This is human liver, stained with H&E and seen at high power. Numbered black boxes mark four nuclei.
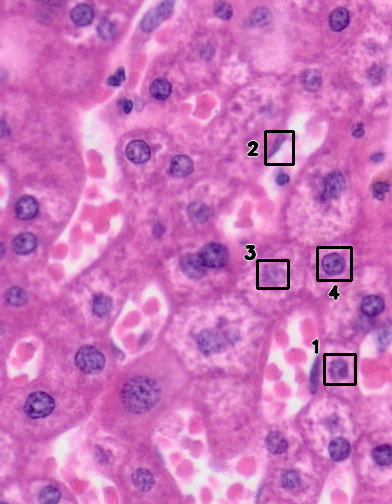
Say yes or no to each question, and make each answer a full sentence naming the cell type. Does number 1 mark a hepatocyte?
Yes, the cell distinguished by number 1 is a hepatocyte.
